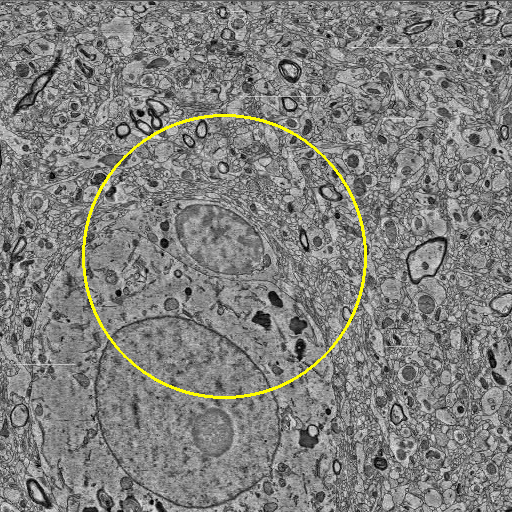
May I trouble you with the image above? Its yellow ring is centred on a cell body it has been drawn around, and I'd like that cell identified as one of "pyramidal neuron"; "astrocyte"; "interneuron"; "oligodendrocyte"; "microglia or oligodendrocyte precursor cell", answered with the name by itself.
oligodendrocyte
